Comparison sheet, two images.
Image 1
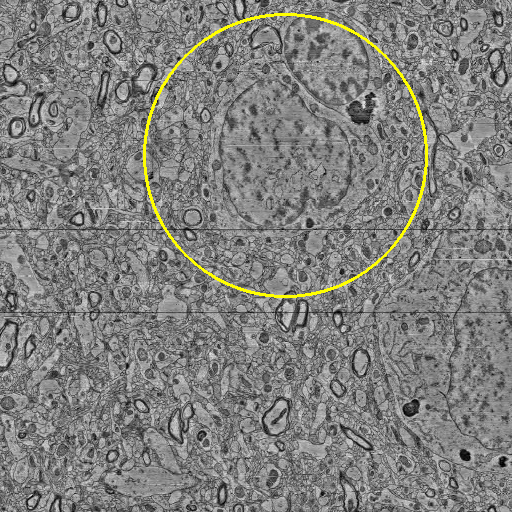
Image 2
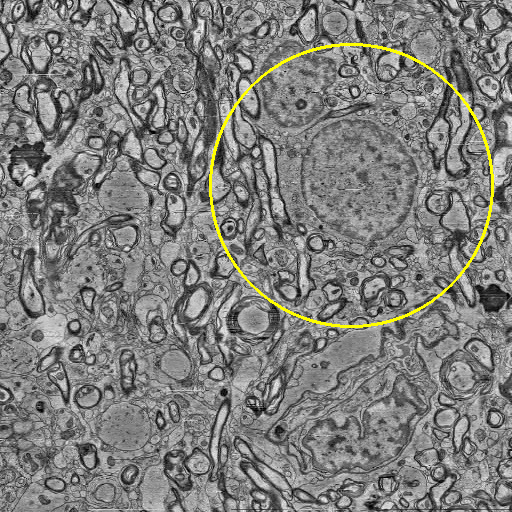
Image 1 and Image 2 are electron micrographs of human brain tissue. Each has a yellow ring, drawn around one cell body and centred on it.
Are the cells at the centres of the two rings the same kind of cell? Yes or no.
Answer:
no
